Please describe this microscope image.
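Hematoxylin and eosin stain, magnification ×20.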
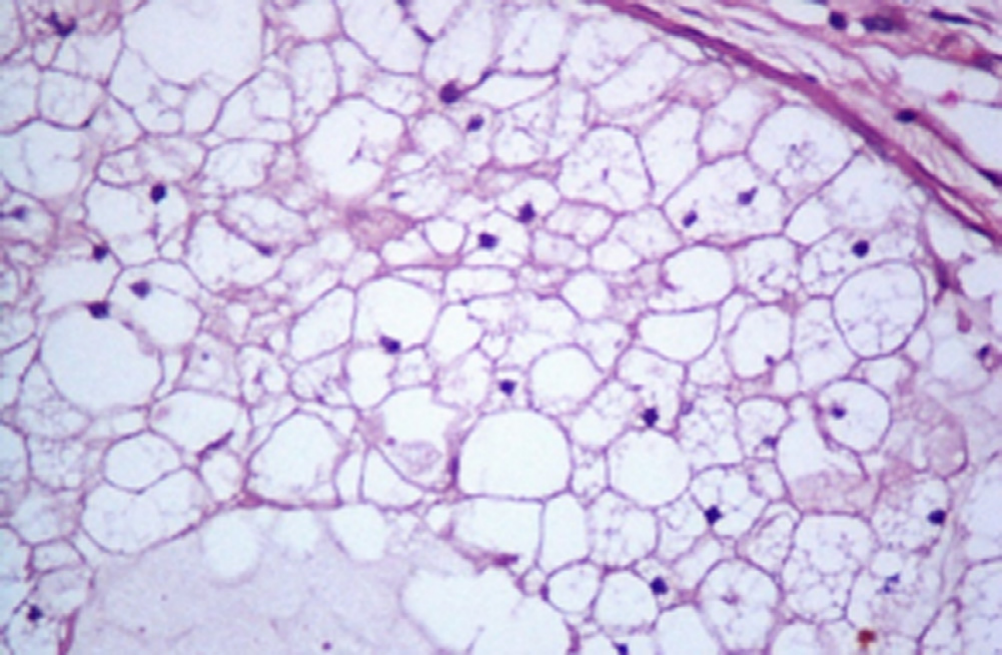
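Chordoma made up of large, pale, vacuolated physaliphorous tumor cells lying in sheets. Their cytoplasm is filled with many clear vacuoles of varying size, so the tissue looks bubbly, and thin pink borders separate the cells. A pale, loose myxoid stroma lies at the lower left, and a band of pink fibrous tissue with elongated nuclei runs across the upper right corner.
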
